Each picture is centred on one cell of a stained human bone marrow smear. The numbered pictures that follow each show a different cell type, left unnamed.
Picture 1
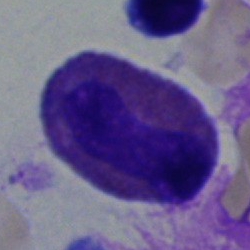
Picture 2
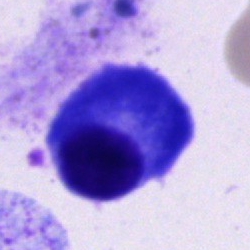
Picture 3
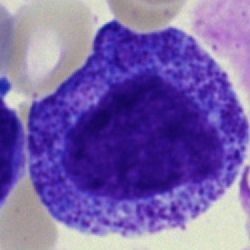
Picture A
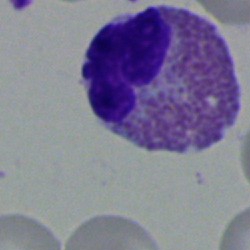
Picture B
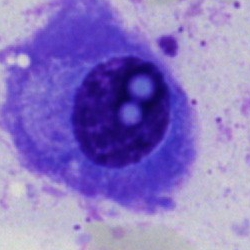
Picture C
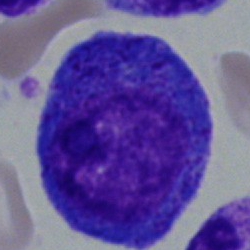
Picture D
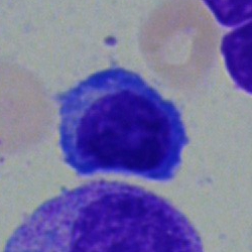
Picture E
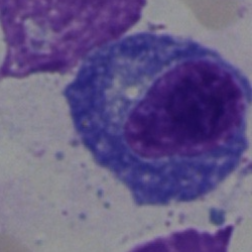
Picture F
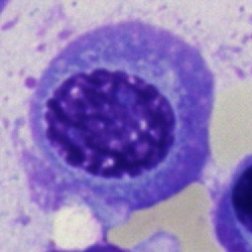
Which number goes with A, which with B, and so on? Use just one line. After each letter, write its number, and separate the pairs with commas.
A 1, B 2, C 3, D 2, E 2, F 2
